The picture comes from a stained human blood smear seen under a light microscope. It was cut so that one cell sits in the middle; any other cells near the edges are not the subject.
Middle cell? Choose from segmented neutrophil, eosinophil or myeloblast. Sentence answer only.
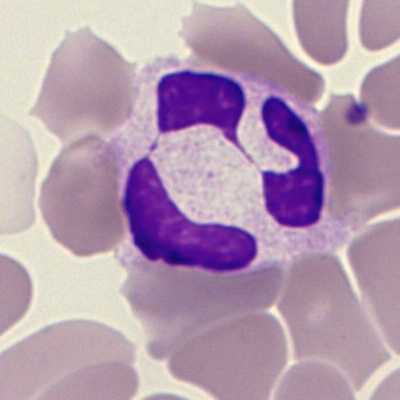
Classified as a segmented neutrophil is the cell in the middle of this crop.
